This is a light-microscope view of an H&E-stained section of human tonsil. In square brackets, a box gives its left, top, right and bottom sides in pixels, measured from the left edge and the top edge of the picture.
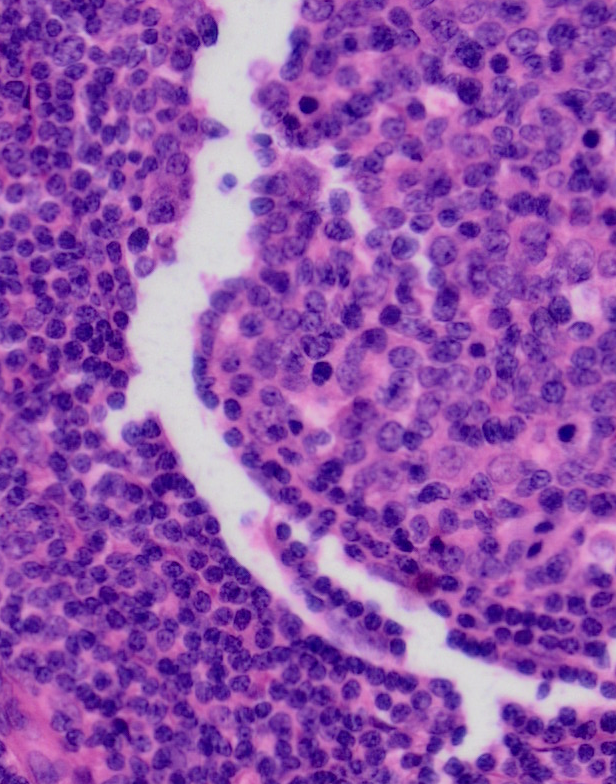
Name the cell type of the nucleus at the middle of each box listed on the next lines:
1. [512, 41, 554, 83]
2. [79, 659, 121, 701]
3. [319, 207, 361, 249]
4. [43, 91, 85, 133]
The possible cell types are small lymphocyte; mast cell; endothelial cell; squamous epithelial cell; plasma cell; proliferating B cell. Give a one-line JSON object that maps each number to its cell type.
{"1": "proliferating B cell", "2": "small lymphocyte", "3": "proliferating B cell", "4": "small lymphocyte"}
